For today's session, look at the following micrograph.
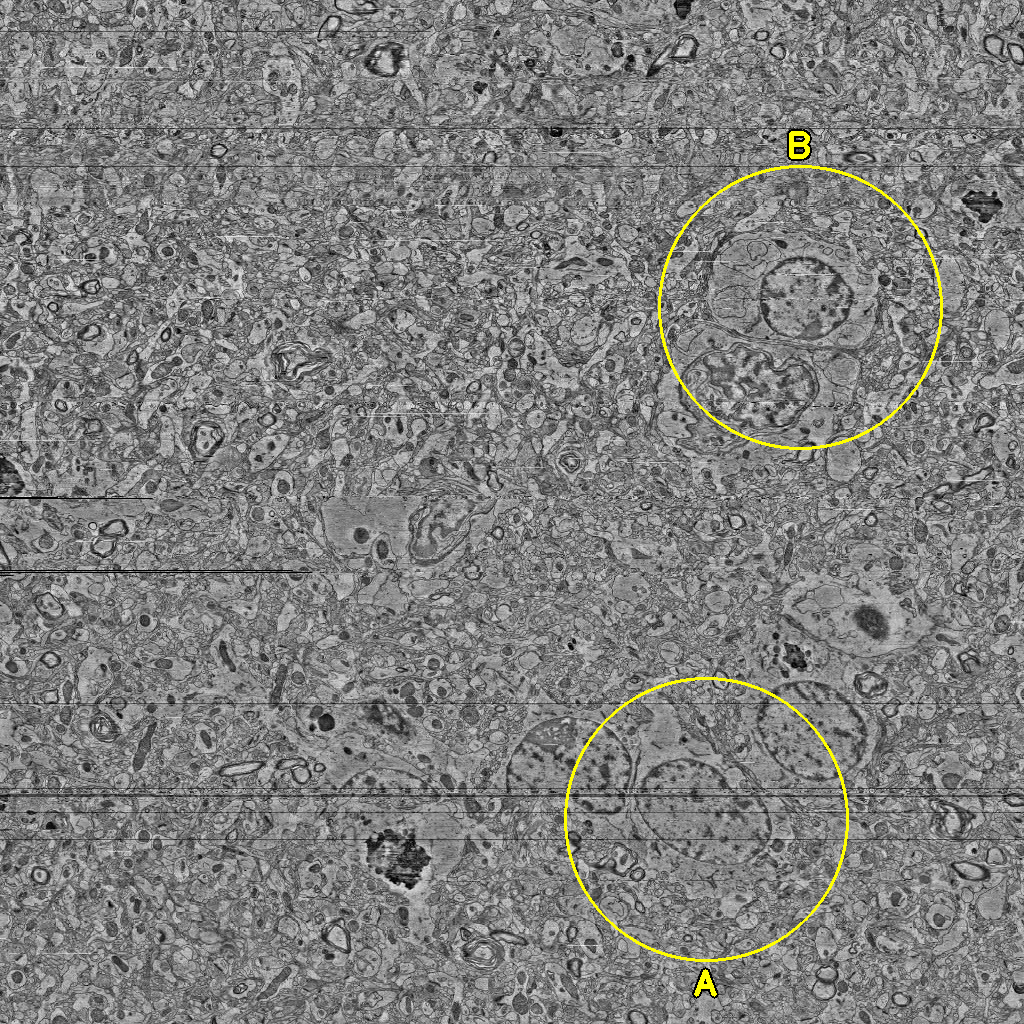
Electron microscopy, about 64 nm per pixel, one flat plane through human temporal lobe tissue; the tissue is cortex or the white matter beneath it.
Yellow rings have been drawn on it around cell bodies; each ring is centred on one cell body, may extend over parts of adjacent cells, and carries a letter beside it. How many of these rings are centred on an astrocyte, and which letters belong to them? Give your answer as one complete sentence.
Rings lettered A and B, two altogether, have an astrocyte at the centre of every one of them.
